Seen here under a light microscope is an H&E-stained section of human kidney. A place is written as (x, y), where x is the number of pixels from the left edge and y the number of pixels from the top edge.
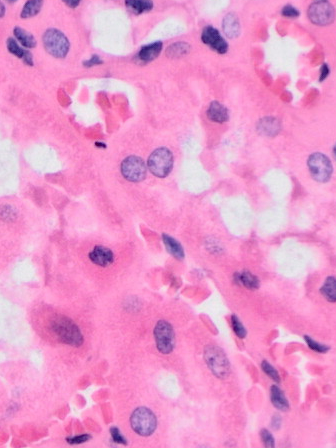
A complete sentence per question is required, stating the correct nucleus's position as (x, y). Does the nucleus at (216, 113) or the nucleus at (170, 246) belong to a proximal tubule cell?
Of the two, the nucleus at (216, 113) is the one contained in a proximal tubule cell.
